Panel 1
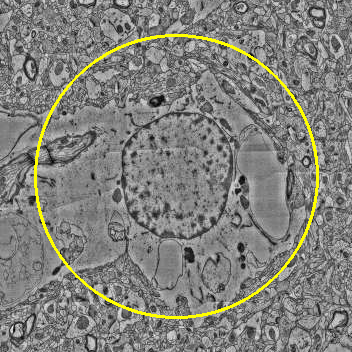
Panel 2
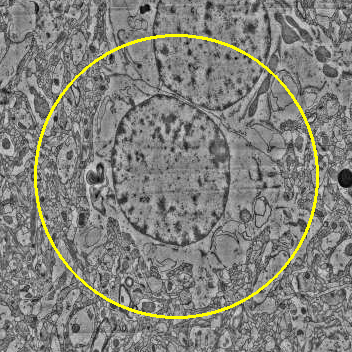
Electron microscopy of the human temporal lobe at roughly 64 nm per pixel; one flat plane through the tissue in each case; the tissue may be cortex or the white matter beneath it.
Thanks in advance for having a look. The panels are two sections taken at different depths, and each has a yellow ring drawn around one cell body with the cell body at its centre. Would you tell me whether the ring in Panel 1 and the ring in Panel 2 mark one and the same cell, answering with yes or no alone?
no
